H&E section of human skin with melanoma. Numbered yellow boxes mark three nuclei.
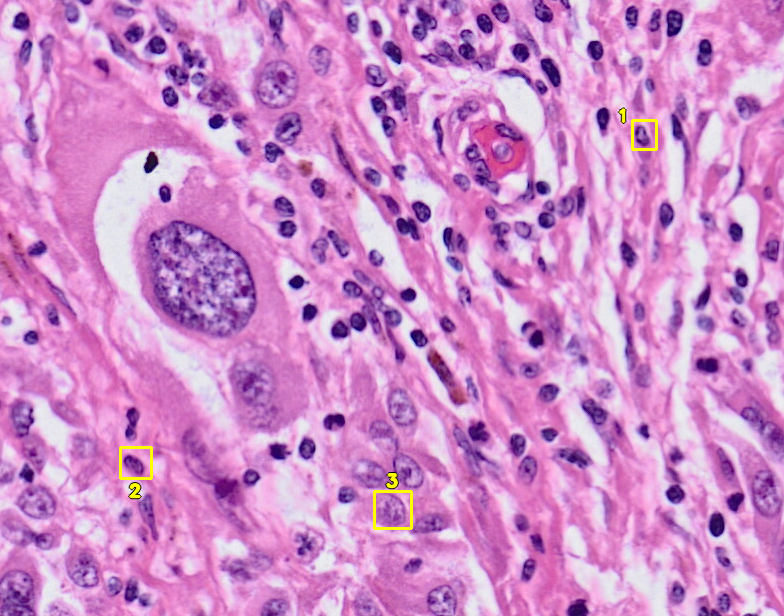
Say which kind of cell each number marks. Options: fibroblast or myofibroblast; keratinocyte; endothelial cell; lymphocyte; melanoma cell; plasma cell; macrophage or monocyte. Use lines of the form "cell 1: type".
cell 1: plasma cell
cell 2: lymphocyte
cell 3: melanoma cell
